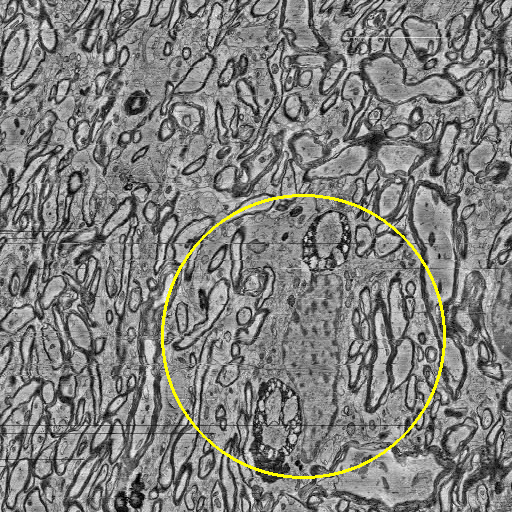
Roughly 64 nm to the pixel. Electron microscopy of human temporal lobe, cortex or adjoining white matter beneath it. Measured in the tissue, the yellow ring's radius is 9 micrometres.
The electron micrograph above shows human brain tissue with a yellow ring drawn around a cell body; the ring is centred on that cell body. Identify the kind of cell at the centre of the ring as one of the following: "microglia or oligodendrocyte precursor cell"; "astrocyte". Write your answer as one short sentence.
The cell at the centre of the ring is an astrocyte.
